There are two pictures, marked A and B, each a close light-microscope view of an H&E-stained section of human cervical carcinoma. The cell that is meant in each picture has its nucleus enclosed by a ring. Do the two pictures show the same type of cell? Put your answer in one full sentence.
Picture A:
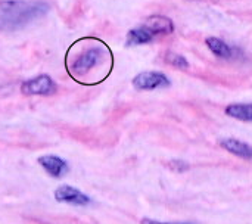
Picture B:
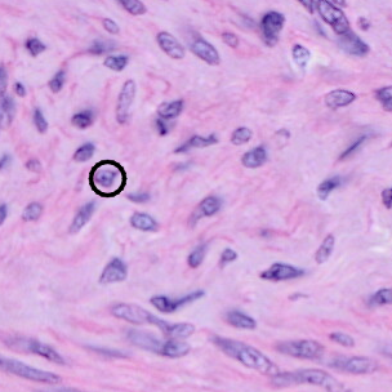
Yes, both cells are smooth muscle cells.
